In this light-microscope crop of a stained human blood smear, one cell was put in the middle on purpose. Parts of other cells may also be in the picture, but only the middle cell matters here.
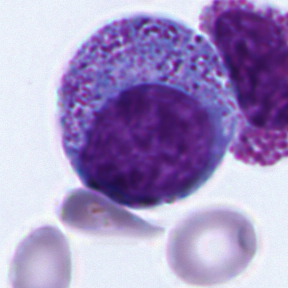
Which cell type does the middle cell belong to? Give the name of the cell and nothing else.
promyelocyte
